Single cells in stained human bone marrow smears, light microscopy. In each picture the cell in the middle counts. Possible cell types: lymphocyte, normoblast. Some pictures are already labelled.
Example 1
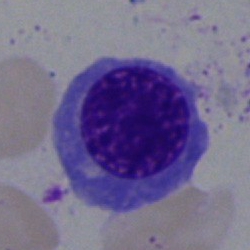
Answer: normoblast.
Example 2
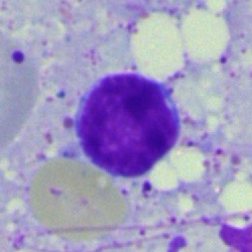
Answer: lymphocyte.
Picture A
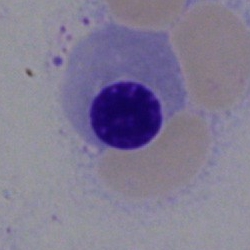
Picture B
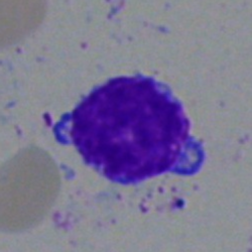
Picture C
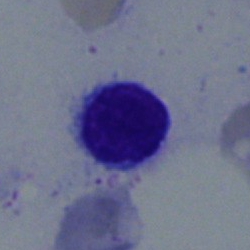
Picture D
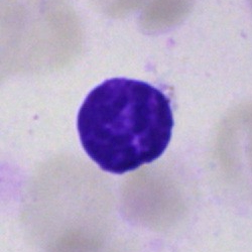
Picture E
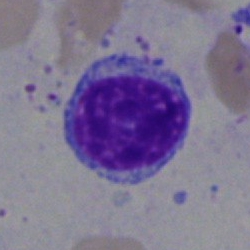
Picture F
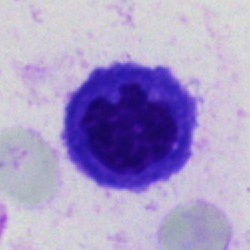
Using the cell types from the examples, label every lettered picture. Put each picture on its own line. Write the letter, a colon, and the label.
A: normoblast.
B: lymphocyte.
C: lymphocyte.
D: lymphocyte.
E: lymphocyte.
F: normoblast.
